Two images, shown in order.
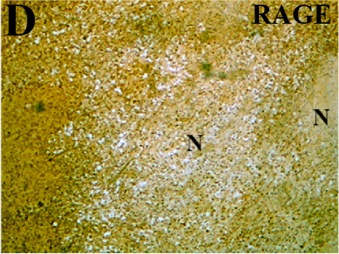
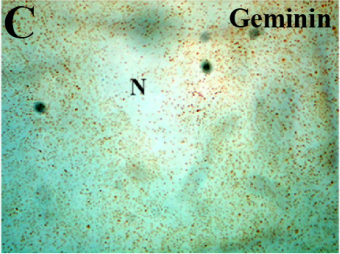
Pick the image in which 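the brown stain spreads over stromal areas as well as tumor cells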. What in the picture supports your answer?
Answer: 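The first image. First image: brown stain covers most of the tissue broadly and diffusely, sparing mainly a pale central area. Second image: only small scattered brown-red dots lie on a blue-green counterstained background.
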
